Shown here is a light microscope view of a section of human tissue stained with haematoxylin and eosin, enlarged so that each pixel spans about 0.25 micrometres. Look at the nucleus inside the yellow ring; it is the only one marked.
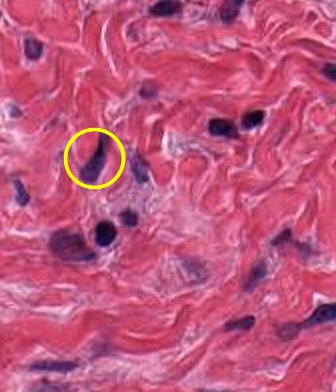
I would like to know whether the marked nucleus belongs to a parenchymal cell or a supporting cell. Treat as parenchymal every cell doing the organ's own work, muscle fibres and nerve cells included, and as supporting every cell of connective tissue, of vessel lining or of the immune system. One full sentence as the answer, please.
The marked nucleus is classified as belonging to a supporting cell.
